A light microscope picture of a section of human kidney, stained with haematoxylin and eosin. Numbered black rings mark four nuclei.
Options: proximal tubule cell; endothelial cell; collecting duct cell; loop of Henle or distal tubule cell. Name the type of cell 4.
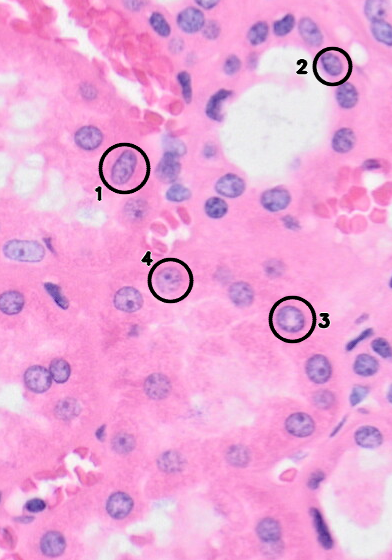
proximal tubule cell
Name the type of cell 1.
proximal tubule cell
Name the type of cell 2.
collecting duct cell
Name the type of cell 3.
proximal tubule cell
